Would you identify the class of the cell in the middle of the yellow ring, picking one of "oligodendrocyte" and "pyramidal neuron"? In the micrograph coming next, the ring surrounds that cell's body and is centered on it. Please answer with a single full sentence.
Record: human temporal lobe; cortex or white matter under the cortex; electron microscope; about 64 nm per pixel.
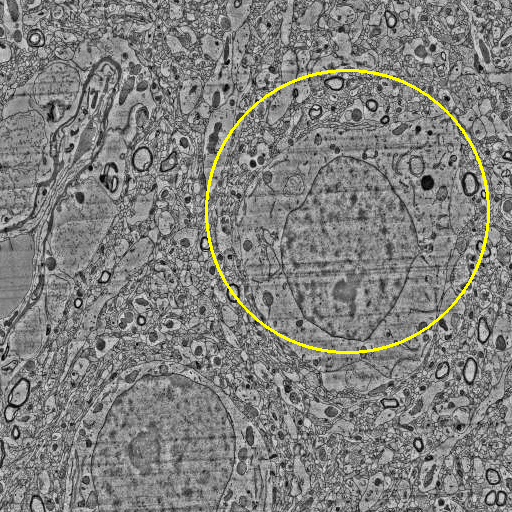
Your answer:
In the micrograph, it is a pyramidal neuron whose body lies at the ring's center.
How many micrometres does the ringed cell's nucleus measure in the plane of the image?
The nucleus measures about 12 by 9 micrometres in this plane.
